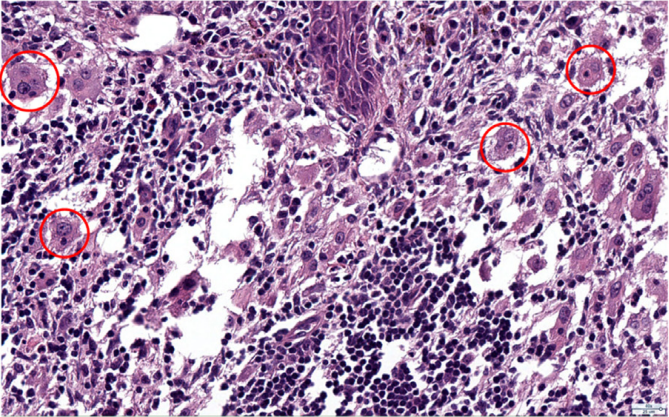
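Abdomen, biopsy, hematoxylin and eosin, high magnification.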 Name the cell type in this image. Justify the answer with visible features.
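Large cells with abundant pale pink, finely vacuolated cytoplasm are scattered among small dark cells. The large cells have round nuclei with visible nucleoli. So: histiocytes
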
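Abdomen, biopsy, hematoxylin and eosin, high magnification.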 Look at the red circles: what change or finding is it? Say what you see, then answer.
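Each circle encloses a large cell with pale pink cytoplasm. Small dark round cells lie within the cytoplasm of the circled large cells. The answer: emperipolesis.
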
